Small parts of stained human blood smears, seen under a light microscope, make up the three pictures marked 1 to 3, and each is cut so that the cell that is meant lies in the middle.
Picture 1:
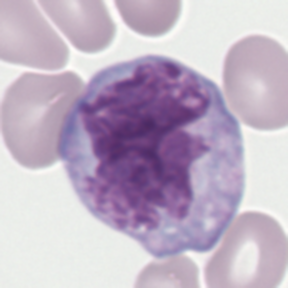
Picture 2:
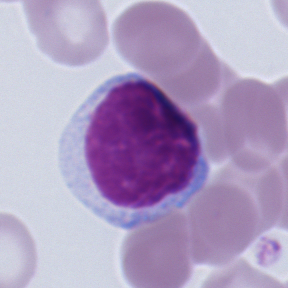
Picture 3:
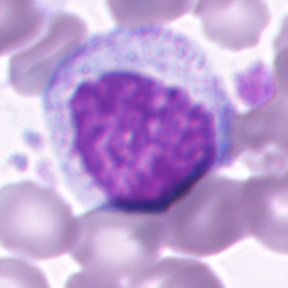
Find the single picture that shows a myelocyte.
3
